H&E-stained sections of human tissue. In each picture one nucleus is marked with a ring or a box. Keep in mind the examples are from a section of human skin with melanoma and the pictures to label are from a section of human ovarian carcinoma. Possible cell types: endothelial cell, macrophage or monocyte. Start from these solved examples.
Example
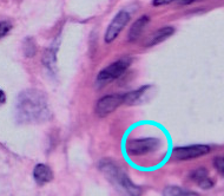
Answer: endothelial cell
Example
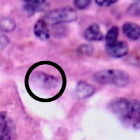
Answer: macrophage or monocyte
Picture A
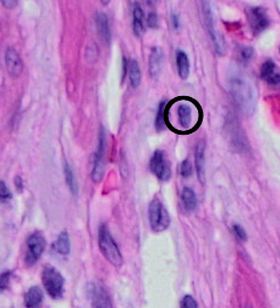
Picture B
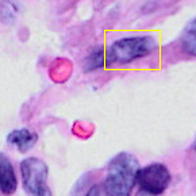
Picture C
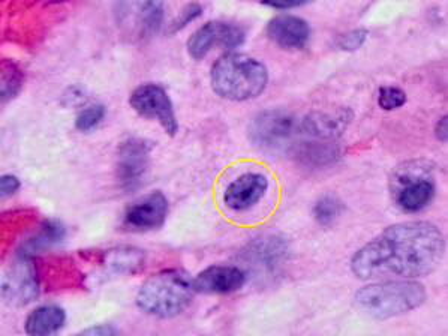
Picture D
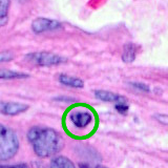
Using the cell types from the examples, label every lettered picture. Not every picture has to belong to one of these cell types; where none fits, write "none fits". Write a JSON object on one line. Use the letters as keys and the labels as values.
{"A": "none fits", "B": "macrophage or monocyte", "C": "none fits", "D": "none fits"}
